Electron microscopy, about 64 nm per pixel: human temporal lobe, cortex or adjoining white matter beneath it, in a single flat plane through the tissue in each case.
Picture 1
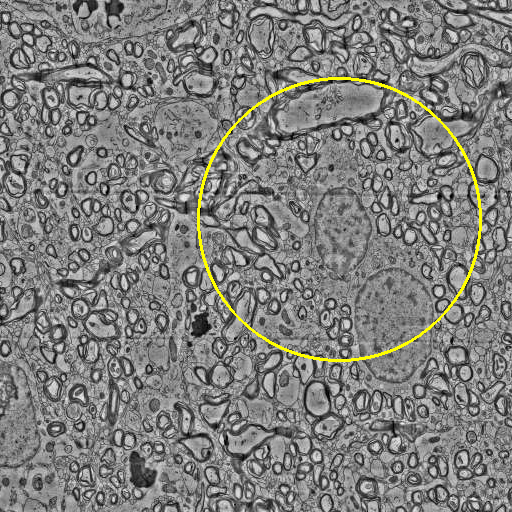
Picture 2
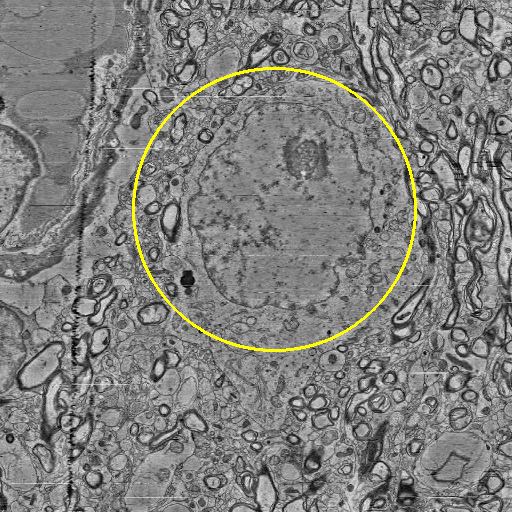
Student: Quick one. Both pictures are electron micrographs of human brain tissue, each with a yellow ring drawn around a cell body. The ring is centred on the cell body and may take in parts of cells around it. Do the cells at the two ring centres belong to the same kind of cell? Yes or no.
no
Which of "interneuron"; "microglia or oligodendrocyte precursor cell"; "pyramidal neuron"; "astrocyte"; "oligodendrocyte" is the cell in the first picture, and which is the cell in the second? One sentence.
The two differ: the first cell is an oligodendrocyte and the second is an interneuron.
